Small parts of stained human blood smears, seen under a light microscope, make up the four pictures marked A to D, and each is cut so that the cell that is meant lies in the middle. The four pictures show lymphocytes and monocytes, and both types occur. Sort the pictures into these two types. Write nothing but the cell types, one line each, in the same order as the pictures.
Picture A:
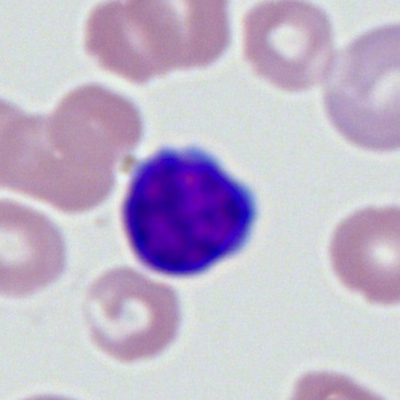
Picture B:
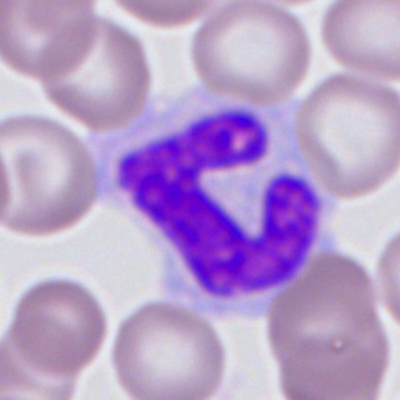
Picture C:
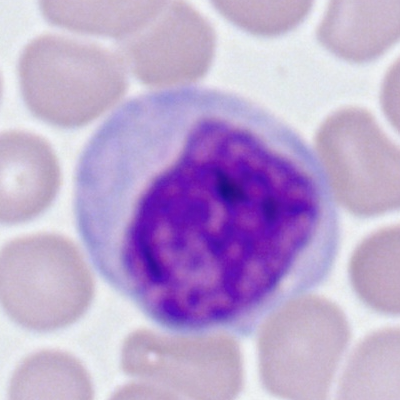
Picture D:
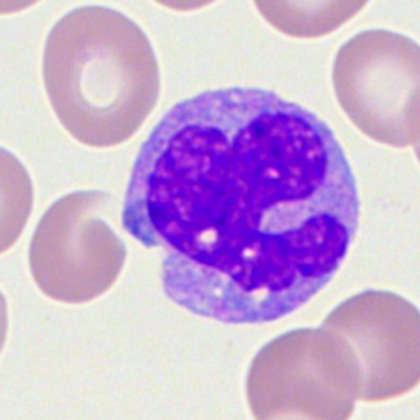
lymphocyte
monocyte
monocyte
monocyte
